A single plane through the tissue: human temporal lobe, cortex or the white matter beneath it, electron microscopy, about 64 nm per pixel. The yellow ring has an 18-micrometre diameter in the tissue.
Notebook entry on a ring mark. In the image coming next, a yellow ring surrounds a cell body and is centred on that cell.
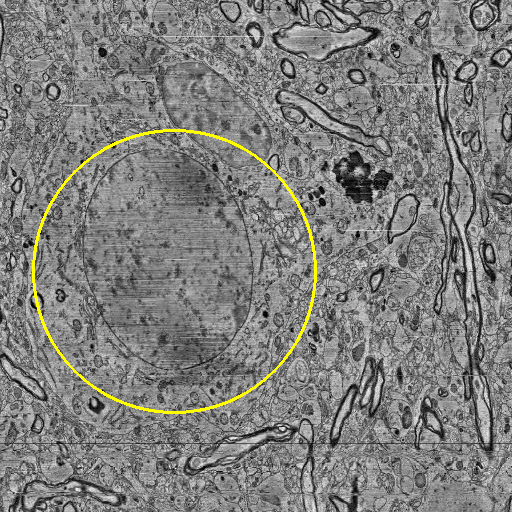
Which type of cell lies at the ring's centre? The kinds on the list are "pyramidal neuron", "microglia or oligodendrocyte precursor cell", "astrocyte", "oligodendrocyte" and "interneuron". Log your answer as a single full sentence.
Centred in the yellow ring is a pyramidal neuron, the cell recorded for this image.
